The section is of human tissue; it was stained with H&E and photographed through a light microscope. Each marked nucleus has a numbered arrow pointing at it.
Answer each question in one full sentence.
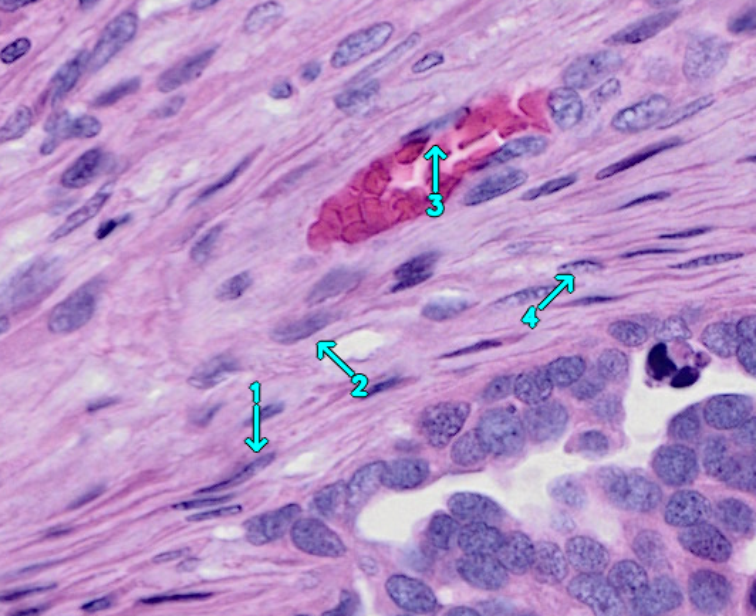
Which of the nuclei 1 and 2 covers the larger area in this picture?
Nucleus 2 is larger, with an area about 2 times that of nucleus 1.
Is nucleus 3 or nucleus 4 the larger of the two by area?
Nucleus 3 is larger, with an area about 1.5 times that of nucleus 4.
